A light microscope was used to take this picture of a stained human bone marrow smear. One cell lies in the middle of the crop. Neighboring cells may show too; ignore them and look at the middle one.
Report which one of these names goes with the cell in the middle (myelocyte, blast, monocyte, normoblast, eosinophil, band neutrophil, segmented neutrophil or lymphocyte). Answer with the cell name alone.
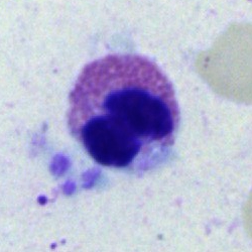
eosinophil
